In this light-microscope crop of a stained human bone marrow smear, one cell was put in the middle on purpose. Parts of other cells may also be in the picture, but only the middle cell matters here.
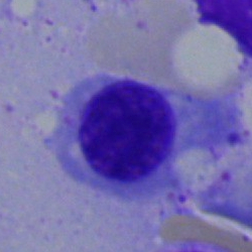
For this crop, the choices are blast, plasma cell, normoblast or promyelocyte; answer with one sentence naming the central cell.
In short, the cell at the center is a normoblast.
